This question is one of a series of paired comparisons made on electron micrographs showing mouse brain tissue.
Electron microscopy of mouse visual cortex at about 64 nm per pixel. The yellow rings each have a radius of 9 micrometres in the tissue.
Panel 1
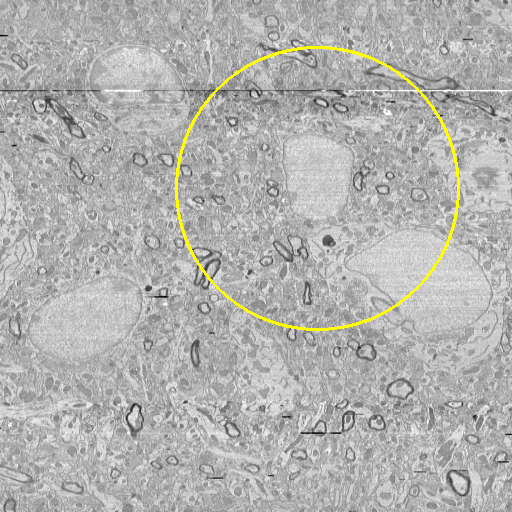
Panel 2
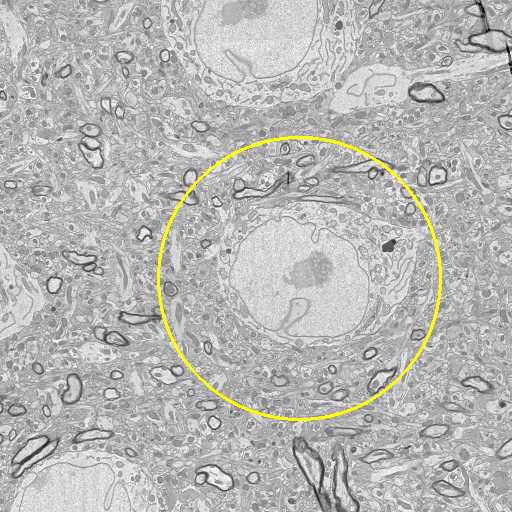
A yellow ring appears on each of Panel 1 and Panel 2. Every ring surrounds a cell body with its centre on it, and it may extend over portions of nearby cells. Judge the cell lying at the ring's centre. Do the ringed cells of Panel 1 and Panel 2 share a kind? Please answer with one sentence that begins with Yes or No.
No, the ring-centre cell in Panel 1 and the one in Panel 2 are of two kinds.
